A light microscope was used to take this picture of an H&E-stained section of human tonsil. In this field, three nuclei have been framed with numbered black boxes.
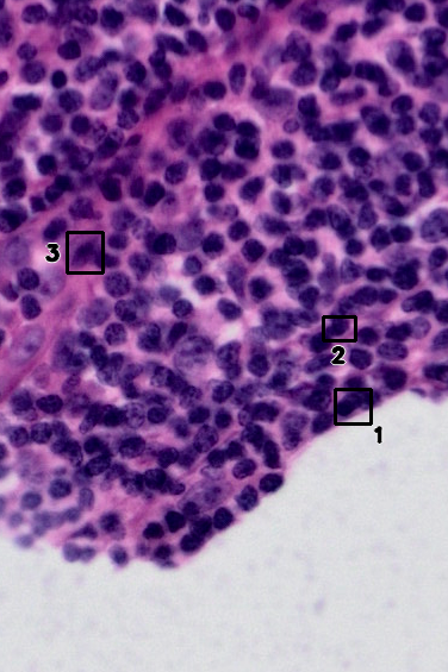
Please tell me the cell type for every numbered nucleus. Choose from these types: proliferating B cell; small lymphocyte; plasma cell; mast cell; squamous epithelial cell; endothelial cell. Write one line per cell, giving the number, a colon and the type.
1: small lymphocyte
2: small lymphocyte
3: endothelial cell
